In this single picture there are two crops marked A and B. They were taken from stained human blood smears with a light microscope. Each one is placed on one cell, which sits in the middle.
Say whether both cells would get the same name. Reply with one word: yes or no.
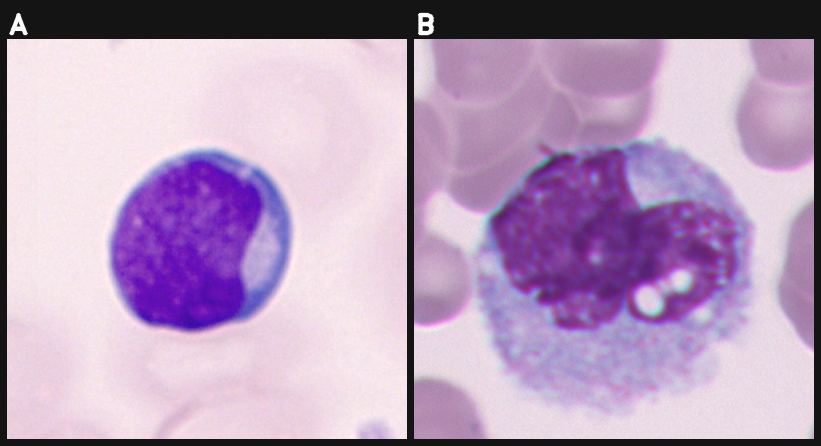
no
